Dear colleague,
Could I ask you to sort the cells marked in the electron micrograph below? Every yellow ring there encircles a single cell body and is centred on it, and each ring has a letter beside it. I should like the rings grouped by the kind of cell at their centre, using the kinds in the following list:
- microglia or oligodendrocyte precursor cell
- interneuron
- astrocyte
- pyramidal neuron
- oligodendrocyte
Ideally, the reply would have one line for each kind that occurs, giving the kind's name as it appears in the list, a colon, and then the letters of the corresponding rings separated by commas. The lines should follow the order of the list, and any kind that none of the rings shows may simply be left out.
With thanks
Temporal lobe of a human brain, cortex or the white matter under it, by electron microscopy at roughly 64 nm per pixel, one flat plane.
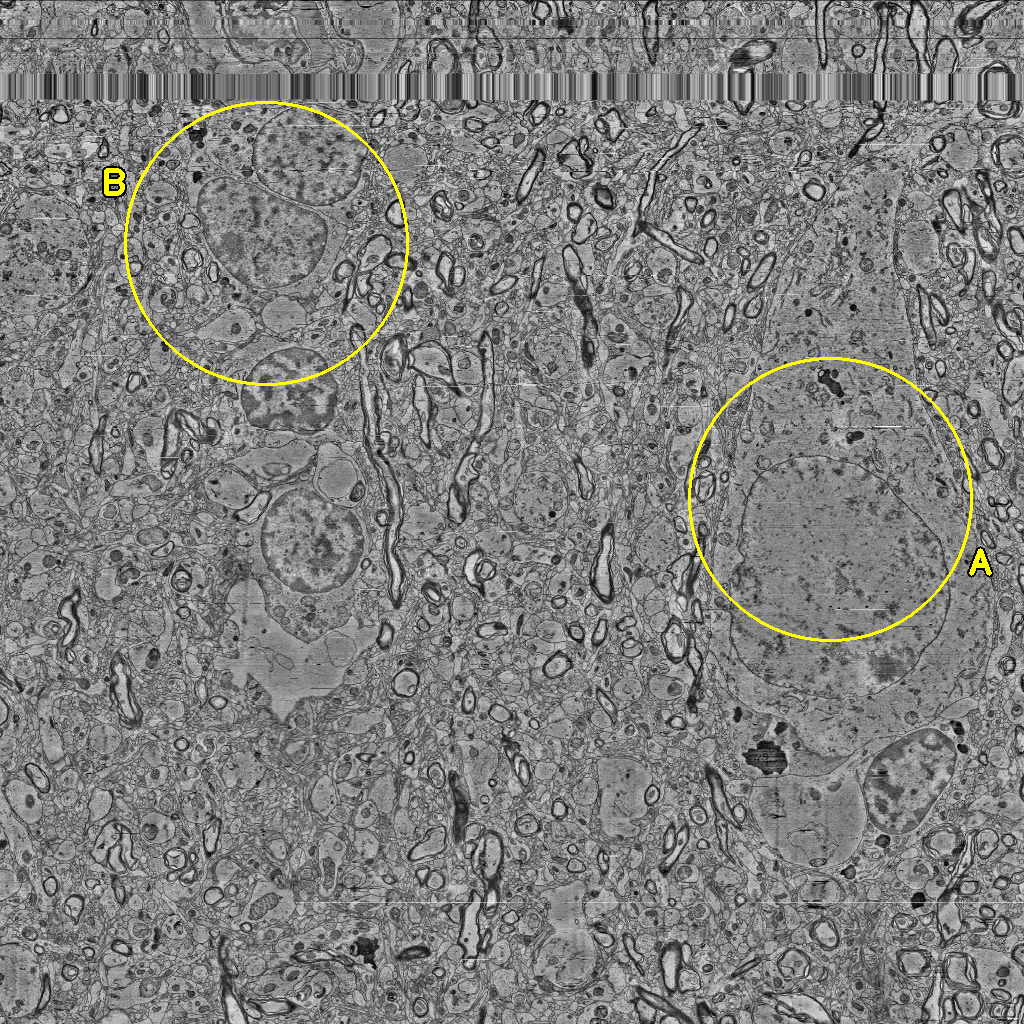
pyramidal neuron: A
oligodendrocyte: B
